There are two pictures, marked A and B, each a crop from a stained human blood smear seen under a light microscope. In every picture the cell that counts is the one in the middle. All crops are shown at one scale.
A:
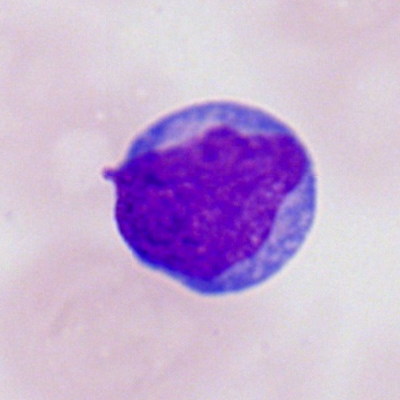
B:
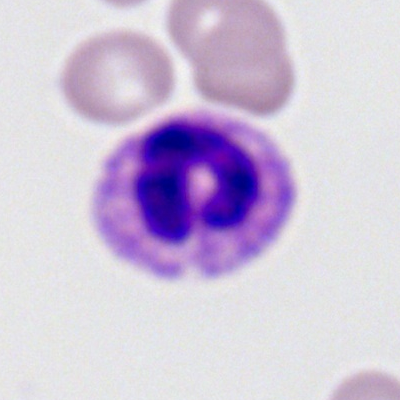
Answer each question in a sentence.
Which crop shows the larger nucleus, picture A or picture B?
Picture A shows the larger nucleus; it covers about 2 times the area of the nucleus in picture B.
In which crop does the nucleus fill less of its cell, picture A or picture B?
The nucleus fills less of the cell in picture B than in picture A.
